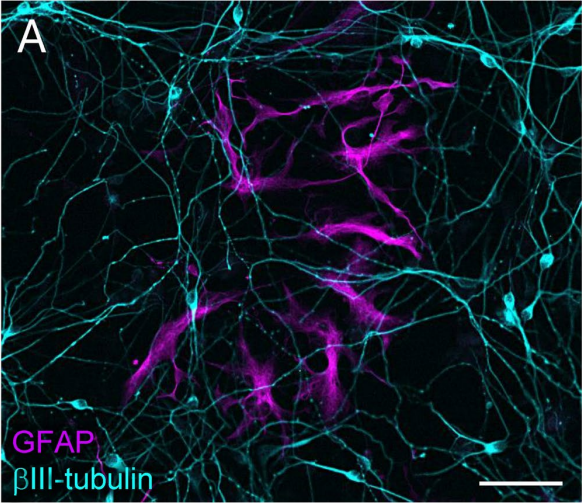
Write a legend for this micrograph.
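This is a culture containing neurons and glia cells seen by fluorescence. The neurons show as small rounded cyan cell bodies scattered across the field, each giving off long thin processes. In the middle lies a cluster of magenta glia cells with broad, flattened, irregularly star-shaped bodies and thick, short branches. The neuronal processes run over and around this glial cluster.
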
